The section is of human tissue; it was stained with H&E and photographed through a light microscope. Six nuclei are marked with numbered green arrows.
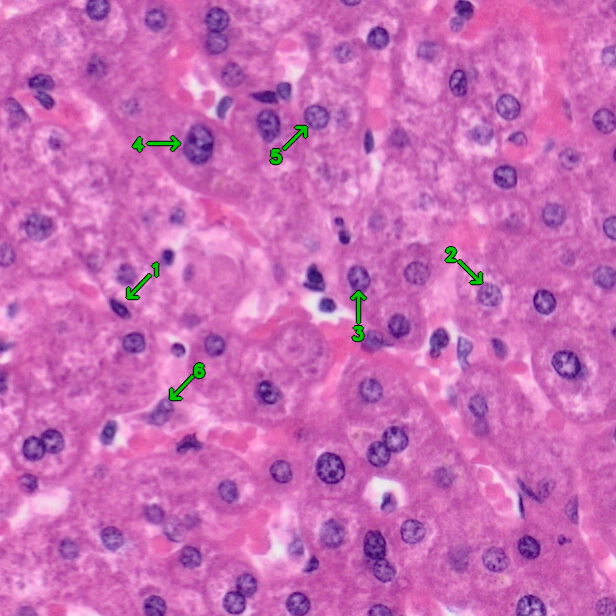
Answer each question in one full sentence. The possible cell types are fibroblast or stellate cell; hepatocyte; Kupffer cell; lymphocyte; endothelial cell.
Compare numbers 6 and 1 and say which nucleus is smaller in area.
With nucleus 6 about 2 times its size, nucleus 1 is the smaller of the two.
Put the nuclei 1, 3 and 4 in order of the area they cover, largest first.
By area, largest first, they run 4, 3, 1.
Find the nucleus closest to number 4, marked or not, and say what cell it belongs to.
The nearest nucleus to number 4 belongs to an endothelial cell.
